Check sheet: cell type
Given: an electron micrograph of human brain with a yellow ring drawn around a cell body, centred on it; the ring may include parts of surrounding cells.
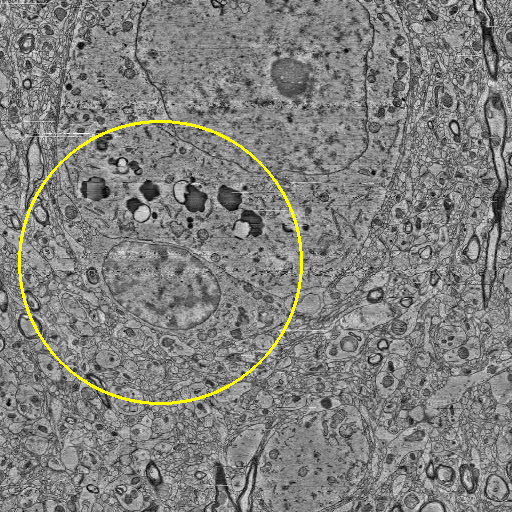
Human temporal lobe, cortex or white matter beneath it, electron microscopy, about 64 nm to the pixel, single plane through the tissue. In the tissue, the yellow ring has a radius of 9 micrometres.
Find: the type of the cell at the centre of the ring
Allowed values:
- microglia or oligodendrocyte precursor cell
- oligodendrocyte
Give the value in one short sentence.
Here the ringed cell is an oligodendrocyte.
